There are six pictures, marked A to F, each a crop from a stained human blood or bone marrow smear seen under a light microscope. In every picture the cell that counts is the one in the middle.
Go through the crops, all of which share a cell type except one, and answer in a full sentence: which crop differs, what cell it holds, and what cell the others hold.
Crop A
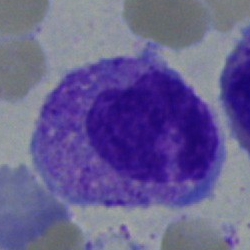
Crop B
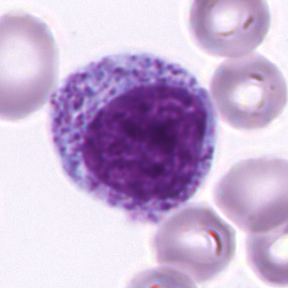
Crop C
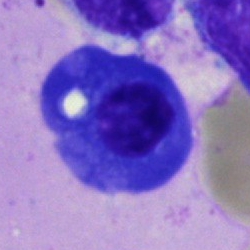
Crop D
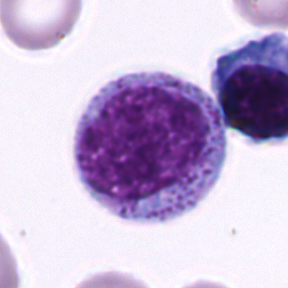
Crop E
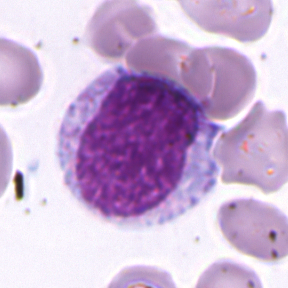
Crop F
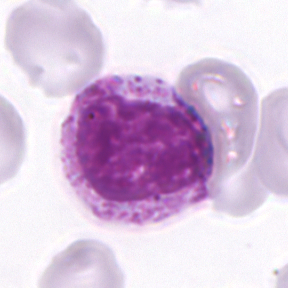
The set is made up of myelocytes, with the single exception of crop C, which is a plasma cell.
